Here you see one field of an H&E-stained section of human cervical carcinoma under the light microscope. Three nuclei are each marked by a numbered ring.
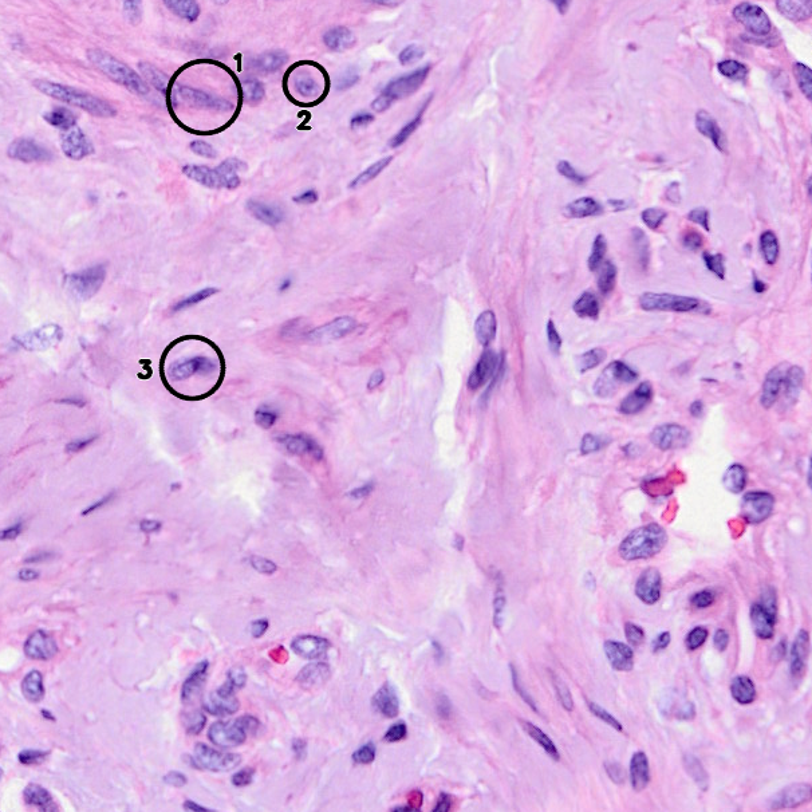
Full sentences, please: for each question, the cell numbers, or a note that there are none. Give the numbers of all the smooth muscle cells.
Regarding the numbered cells 1 and 2, these are smooth muscle cells.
